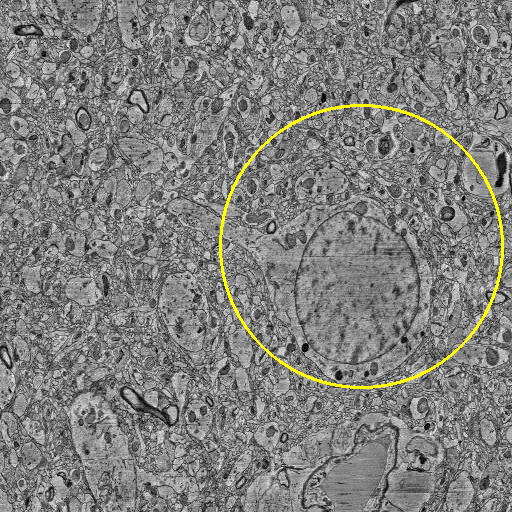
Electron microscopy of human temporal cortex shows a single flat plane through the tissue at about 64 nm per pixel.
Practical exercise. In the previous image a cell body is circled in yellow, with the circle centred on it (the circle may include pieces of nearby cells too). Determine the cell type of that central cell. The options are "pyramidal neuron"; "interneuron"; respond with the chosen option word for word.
pyramidal neuron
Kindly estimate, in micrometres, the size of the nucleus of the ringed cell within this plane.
The nucleus of the ringed cell is approximately 10 by 8 micrometres in this plane.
